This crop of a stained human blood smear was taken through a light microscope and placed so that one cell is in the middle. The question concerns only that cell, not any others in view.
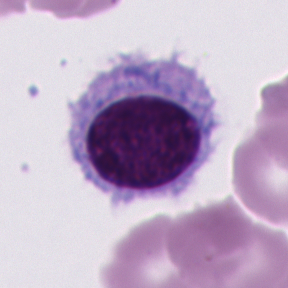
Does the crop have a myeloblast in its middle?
no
